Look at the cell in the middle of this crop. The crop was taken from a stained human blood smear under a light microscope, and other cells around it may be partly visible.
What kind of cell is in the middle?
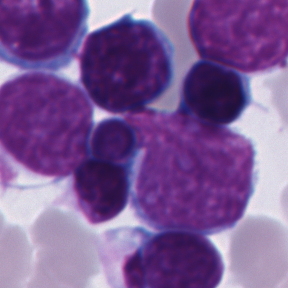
blast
